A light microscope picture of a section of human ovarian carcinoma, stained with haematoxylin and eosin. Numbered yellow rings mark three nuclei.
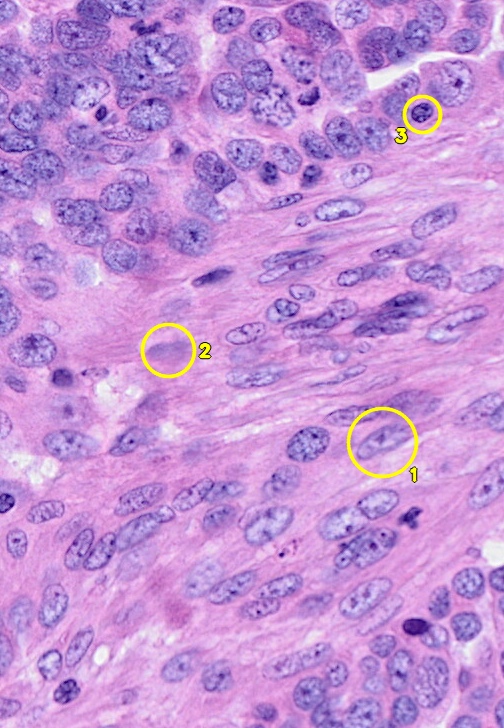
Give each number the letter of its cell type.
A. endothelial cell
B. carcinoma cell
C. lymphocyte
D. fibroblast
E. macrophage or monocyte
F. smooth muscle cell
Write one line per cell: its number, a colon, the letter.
1: D
2: D
3: C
